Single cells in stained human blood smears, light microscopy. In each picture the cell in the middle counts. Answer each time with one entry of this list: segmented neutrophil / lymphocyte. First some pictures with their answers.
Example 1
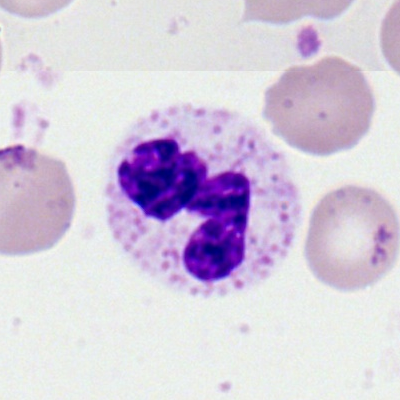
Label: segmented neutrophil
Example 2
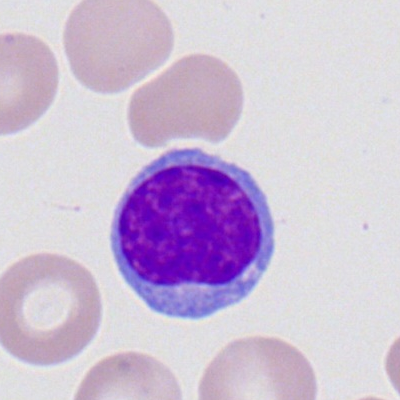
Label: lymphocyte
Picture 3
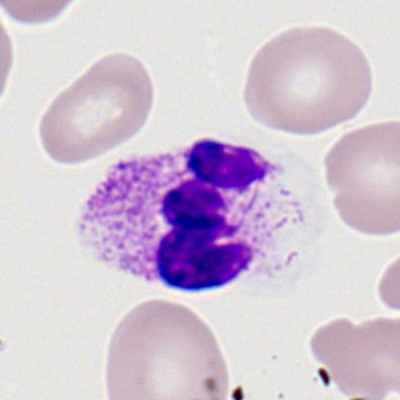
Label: segmented neutrophil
